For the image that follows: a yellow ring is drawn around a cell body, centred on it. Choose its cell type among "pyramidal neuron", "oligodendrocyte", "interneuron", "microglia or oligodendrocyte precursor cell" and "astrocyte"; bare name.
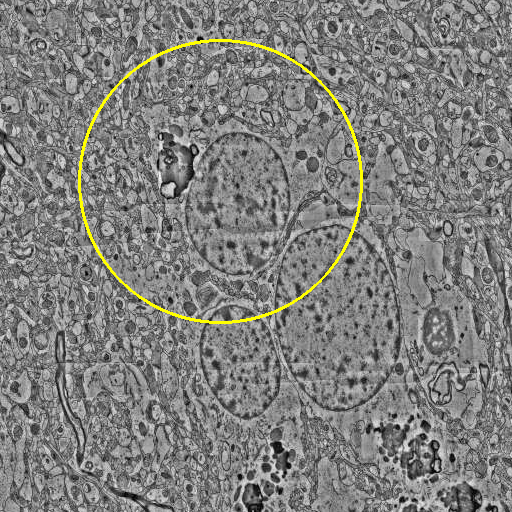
astrocyte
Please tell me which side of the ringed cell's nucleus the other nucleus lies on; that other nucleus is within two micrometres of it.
The other nucleus sits to the lower right of it.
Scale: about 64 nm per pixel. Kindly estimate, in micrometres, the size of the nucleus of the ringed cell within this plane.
About 9 by 7 micrometers, in this plane.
